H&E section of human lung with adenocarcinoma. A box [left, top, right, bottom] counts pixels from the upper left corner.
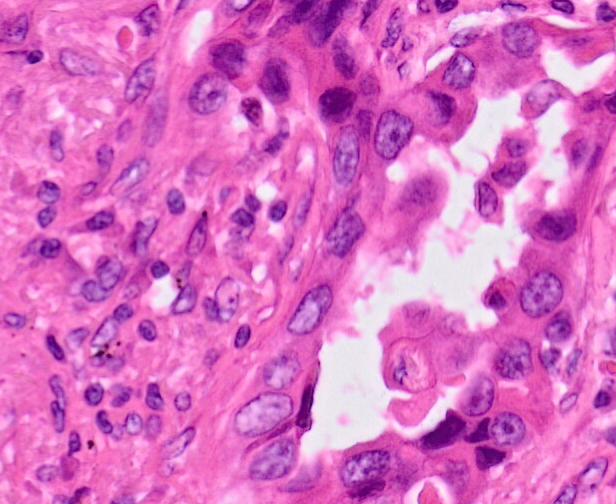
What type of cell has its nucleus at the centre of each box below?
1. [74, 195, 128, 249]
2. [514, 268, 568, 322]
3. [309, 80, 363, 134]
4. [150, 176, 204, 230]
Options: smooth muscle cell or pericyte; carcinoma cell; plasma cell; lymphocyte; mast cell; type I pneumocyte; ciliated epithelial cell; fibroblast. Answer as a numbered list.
1. plasma cell
2. carcinoma cell
3. carcinoma cell
4. lymphocyte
